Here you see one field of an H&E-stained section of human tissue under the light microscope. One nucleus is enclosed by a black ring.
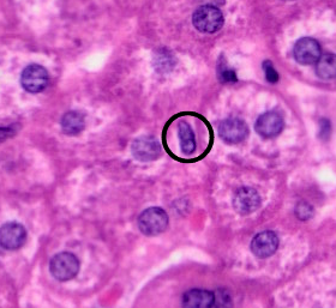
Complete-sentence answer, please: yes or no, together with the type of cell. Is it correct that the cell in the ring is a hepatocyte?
No, not a hepatocyte: the cell in the ring is a Kupffer cell.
